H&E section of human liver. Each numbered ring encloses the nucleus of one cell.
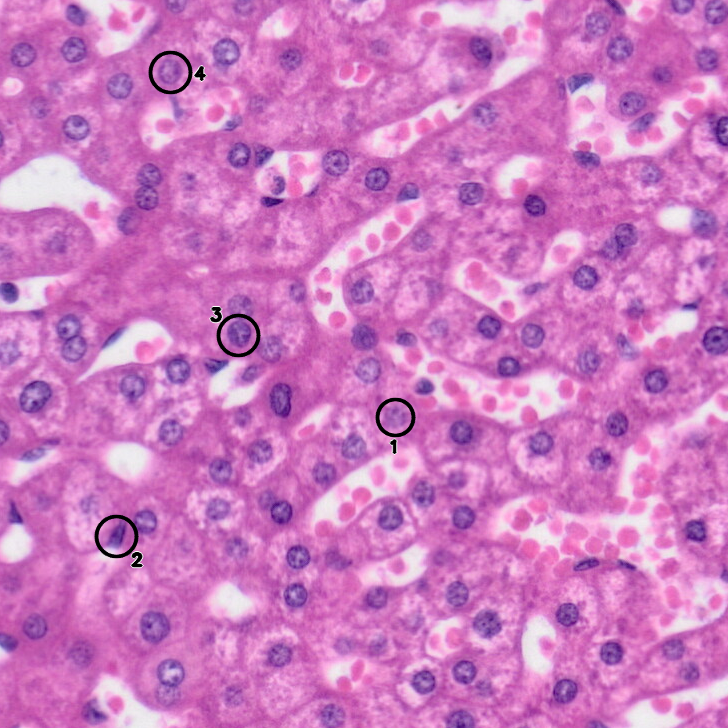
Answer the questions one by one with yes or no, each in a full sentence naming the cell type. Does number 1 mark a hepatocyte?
Yes, the one numbered 1 is a hepatocyte.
